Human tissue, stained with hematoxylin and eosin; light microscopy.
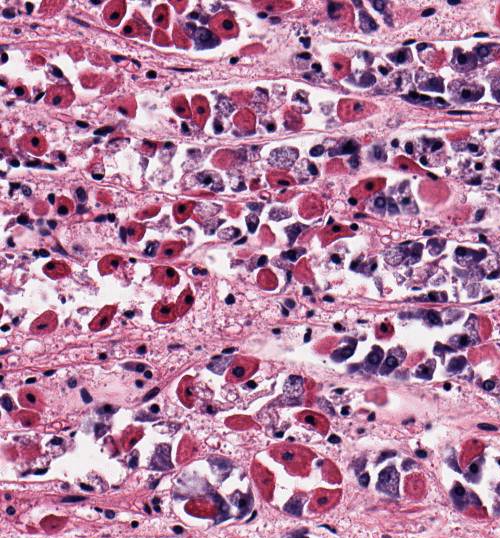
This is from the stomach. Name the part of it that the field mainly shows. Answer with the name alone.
fundic glands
